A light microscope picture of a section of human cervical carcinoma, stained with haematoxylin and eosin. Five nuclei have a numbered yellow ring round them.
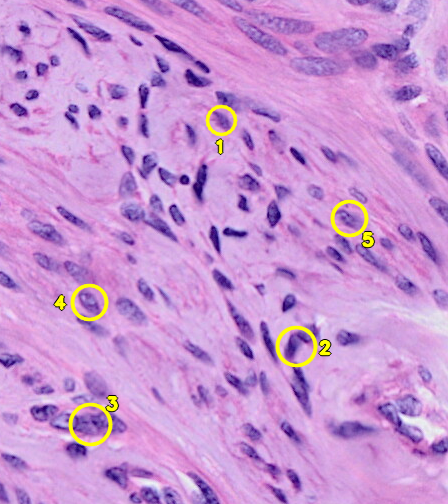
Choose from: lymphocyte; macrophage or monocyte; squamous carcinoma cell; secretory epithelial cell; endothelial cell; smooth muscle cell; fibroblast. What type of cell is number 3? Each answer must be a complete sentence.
To an endothelial cell belongs the nucleus marked 3.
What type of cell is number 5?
The numeral 5 marks a smooth muscle cell in this section.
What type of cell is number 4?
The identity of cell 4 is that of a smooth muscle cell.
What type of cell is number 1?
The nucleus marked 1 is the nucleus of a smooth muscle cell.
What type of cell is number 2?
The cell marked with the number 2 is a fibroblast.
